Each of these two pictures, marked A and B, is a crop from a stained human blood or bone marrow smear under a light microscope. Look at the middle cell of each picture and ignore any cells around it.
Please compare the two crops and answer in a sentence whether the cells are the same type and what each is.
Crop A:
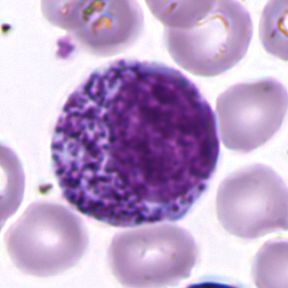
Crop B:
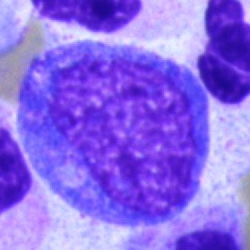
No, just to correct that: crop A shows a myelocyte, crop B shows a promyelocyte.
